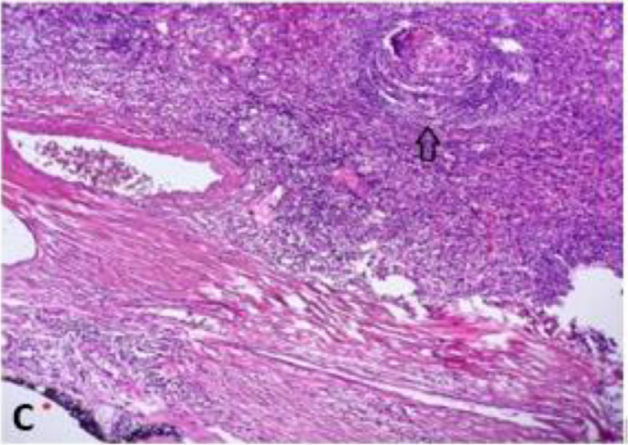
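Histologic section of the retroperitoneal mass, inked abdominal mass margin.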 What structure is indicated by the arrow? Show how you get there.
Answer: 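A rounded nodule with a pink hyalinized center. Lymphocytes are layered concentrically around the center.
Conclusion: Follicle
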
